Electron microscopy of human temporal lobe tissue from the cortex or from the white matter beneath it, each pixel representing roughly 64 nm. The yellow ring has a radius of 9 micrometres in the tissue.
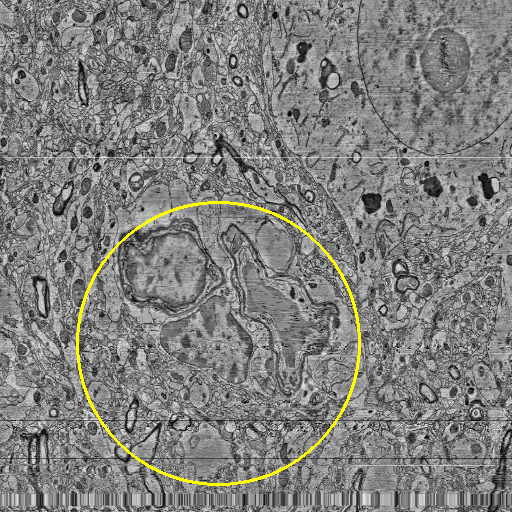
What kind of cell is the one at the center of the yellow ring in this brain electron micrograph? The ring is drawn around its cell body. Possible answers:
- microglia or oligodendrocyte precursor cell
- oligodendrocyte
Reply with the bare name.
microglia or oligodendrocyte precursor cell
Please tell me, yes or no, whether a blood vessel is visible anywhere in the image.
Yes.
